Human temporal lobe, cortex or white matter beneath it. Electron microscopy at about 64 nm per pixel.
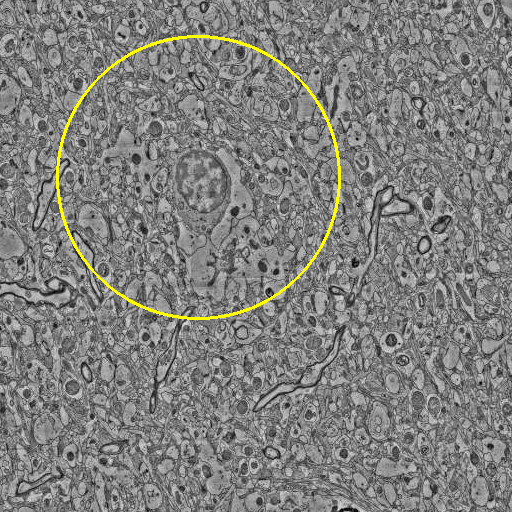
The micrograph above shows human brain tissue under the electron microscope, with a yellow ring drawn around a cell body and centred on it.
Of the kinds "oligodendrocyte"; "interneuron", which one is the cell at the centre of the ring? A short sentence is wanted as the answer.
The one at the centre of the ring is an oligodendrocyte.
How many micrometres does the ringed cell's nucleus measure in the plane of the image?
In this plane the nucleus measures roughly 4 by 3 micrometers.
